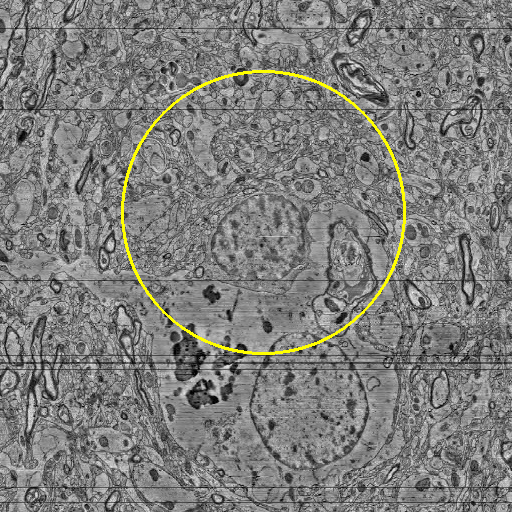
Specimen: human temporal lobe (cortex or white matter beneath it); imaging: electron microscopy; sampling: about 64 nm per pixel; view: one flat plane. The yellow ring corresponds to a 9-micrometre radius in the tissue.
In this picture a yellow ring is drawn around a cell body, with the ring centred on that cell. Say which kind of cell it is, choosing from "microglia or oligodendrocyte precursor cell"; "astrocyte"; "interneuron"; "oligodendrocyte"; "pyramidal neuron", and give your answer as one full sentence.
Here it is an oligodendrocyte that sits at the centre of the drawn yellow ring.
